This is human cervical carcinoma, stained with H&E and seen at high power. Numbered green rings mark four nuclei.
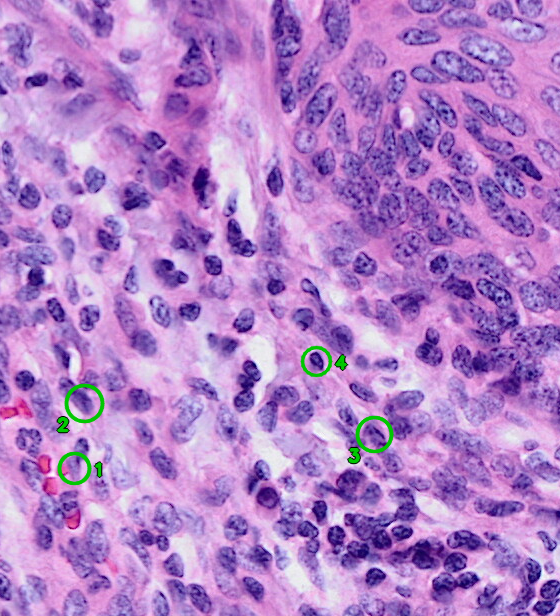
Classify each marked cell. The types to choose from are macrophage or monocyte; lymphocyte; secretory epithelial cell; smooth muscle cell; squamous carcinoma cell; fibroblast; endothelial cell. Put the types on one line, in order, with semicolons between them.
endothelial cell; lymphocyte; lymphocyte; lymphocyte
